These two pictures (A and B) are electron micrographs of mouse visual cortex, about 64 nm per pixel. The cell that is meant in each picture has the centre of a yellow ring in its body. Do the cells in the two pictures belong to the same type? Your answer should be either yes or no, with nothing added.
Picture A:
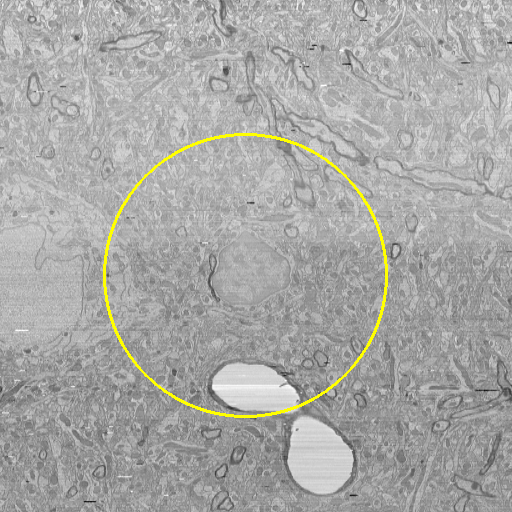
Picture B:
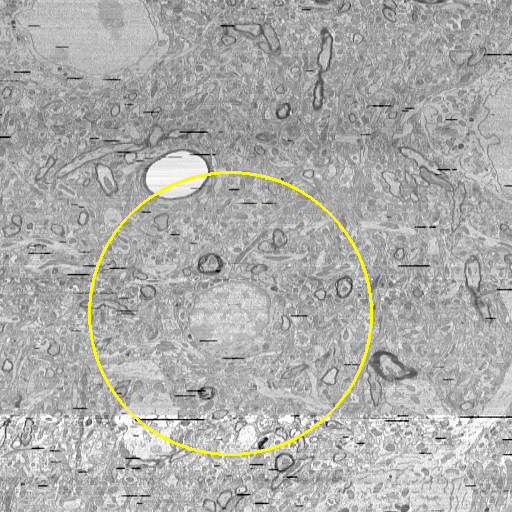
no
